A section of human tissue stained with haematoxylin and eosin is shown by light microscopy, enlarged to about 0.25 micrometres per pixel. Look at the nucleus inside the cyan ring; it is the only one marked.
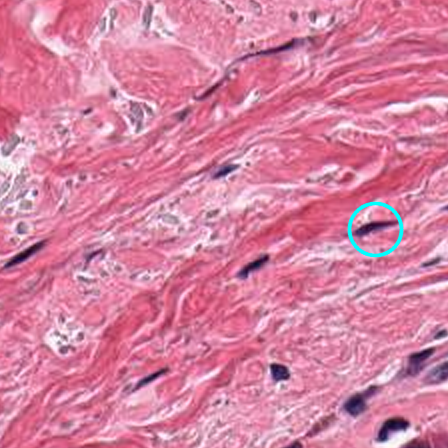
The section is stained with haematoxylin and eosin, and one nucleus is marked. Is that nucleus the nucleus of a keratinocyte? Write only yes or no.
no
